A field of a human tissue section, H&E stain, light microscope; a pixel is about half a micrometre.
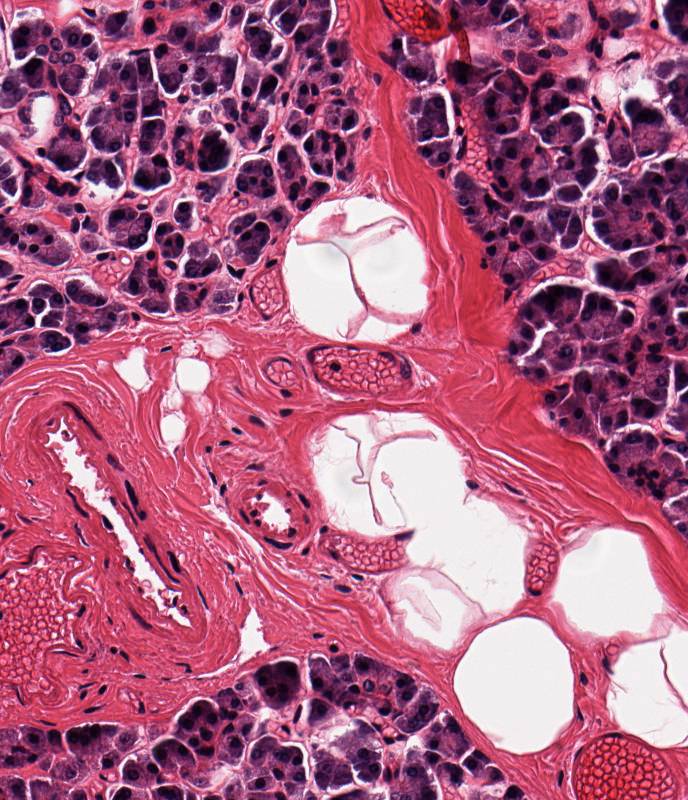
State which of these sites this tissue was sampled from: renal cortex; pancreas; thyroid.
pancreas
